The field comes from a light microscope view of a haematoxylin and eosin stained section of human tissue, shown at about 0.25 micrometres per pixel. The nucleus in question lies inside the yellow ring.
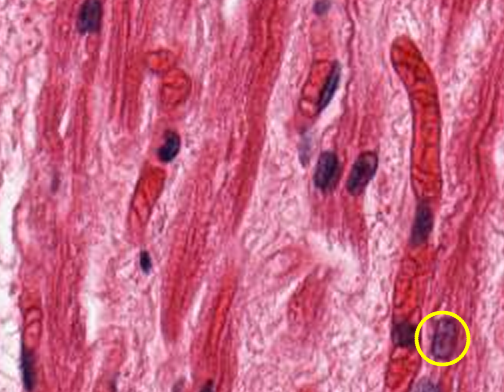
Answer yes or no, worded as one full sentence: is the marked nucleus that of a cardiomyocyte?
Yes, the marked nucleus is to be read as that of a cardiomyocyte.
